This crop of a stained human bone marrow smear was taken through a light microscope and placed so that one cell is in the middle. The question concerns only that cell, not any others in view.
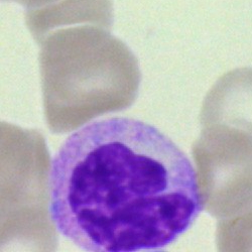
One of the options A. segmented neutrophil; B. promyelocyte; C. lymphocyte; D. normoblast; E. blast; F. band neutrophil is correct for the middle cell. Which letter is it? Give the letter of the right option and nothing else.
A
